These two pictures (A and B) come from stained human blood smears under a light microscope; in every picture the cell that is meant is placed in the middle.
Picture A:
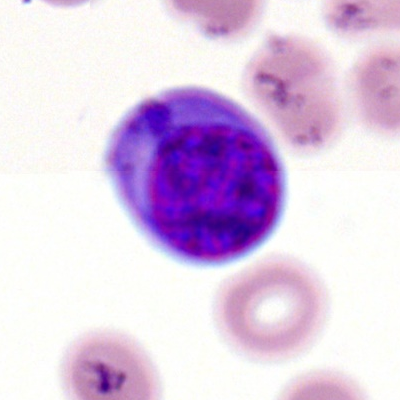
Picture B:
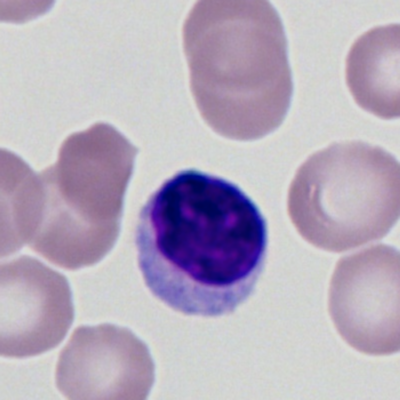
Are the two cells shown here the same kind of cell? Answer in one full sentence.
Yes; the cells in both pictures are lymphocytes.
